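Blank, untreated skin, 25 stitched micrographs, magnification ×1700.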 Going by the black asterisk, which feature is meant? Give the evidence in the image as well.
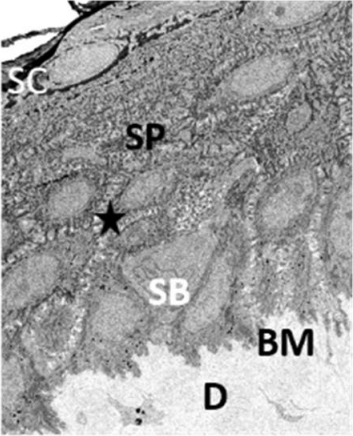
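The asterisk lies on the boundary between two neighbouring epidermal cells. The cell borders there are lined by fine spiny interdigitating processes.
Answer: connections of keratinocytes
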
